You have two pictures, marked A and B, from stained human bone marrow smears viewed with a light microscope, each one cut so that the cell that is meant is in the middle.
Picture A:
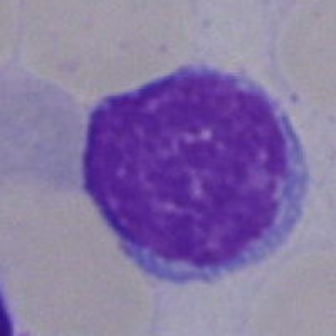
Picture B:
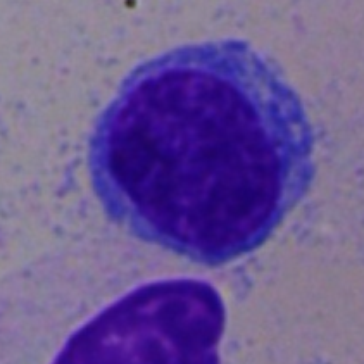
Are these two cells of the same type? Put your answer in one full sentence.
Yes; the cells in both pictures are lymphocytes.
